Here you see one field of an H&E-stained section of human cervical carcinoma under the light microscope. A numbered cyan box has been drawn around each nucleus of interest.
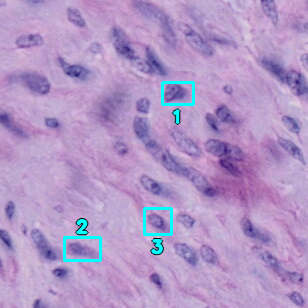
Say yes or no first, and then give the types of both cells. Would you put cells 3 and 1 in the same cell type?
No, cell 3 is a smooth muscle cell and cell 1 is a fibroblast.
